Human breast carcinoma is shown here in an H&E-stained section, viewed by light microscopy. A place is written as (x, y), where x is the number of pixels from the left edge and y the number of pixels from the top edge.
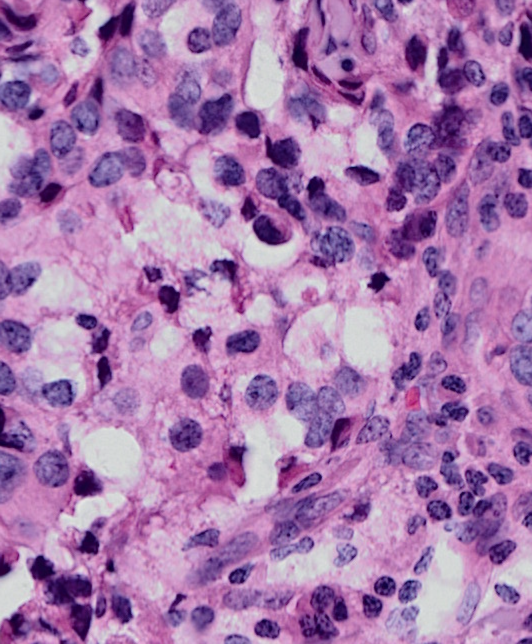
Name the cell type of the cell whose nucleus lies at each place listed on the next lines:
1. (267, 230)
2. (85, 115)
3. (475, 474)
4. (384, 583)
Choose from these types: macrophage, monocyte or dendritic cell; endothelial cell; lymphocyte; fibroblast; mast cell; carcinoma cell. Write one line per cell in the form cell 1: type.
cell 1: carcinoma cell
cell 2: carcinoma cell
cell 3: lymphocyte
cell 4: lymphocyte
